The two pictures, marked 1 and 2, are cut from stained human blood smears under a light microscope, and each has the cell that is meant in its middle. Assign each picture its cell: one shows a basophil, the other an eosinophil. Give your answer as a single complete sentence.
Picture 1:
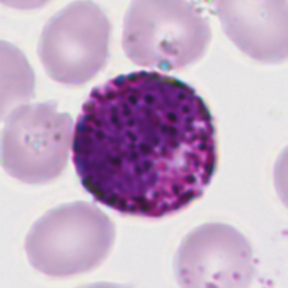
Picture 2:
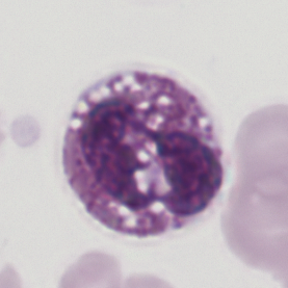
Picture 1 is of a basophil, and picture 2 is of an eosinophil.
